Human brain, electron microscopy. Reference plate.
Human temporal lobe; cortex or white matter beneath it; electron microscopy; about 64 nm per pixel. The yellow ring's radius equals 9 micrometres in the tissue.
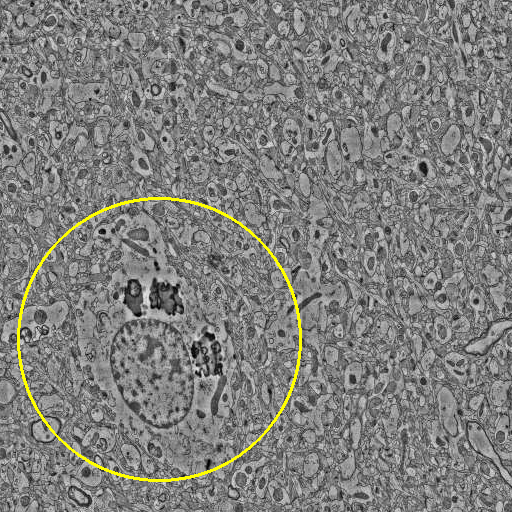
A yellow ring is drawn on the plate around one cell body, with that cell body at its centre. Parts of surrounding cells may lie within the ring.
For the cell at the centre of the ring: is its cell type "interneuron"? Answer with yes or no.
No, its cell type is another one.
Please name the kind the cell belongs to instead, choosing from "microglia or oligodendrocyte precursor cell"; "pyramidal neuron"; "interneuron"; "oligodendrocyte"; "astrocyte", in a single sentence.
The cell at the ring centre is an astrocyte.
